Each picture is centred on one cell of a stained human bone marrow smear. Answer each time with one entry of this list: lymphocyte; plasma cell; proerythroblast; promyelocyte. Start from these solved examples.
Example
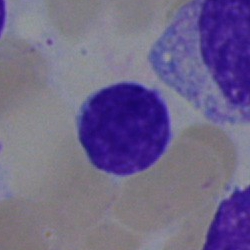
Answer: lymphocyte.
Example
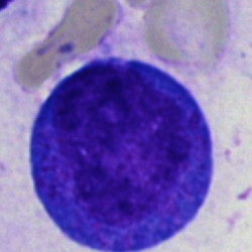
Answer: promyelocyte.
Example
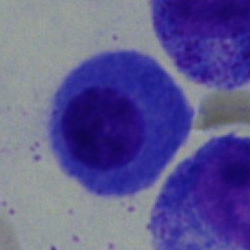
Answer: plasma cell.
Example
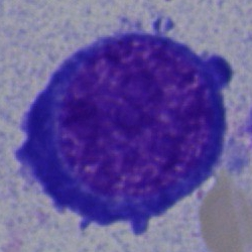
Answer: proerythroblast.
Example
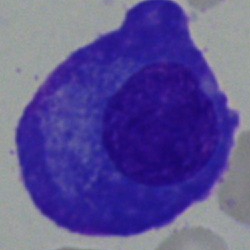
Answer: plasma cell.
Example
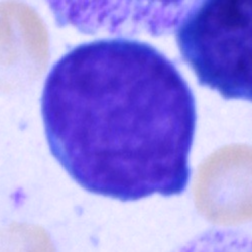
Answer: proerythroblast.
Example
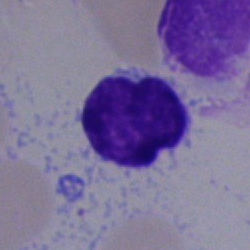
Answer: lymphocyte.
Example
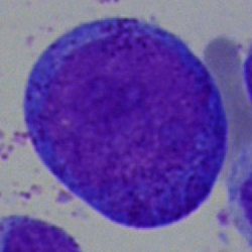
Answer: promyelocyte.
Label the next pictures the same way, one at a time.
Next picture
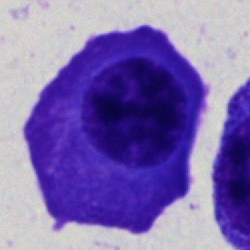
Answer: plasma cell.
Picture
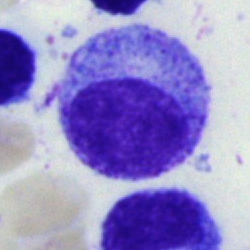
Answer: promyelocyte.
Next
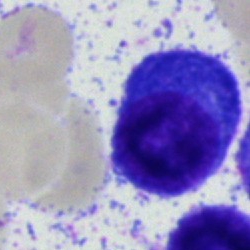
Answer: plasma cell.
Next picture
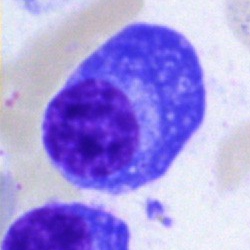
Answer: plasma cell.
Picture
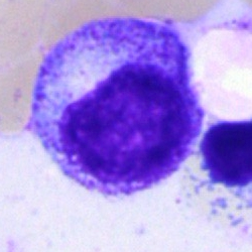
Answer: promyelocyte.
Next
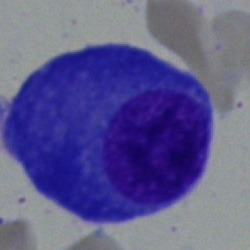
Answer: plasma cell.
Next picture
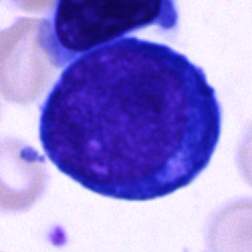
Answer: proerythroblast.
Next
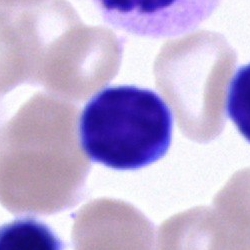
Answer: lymphocyte.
